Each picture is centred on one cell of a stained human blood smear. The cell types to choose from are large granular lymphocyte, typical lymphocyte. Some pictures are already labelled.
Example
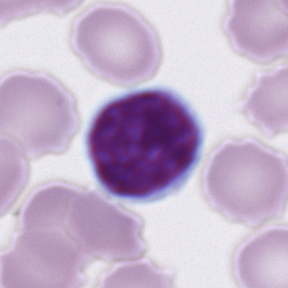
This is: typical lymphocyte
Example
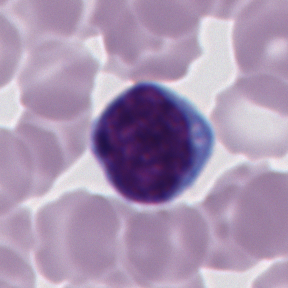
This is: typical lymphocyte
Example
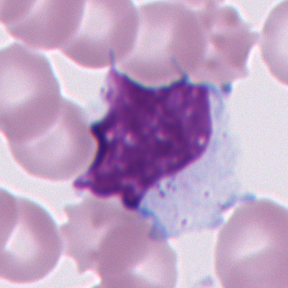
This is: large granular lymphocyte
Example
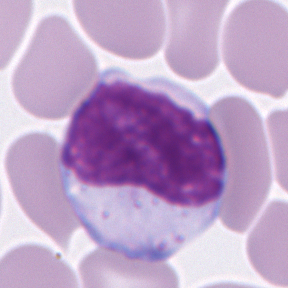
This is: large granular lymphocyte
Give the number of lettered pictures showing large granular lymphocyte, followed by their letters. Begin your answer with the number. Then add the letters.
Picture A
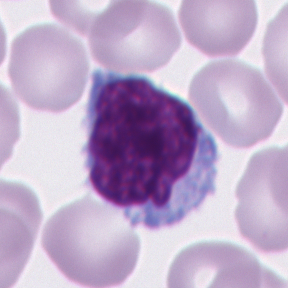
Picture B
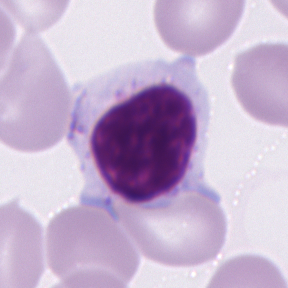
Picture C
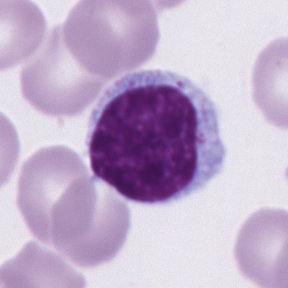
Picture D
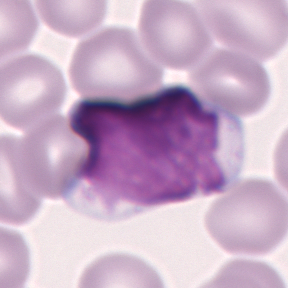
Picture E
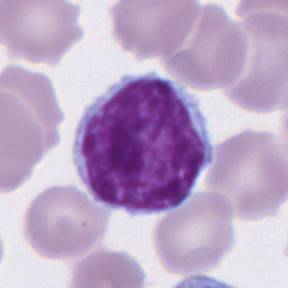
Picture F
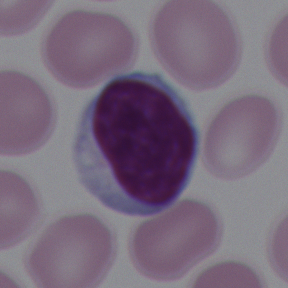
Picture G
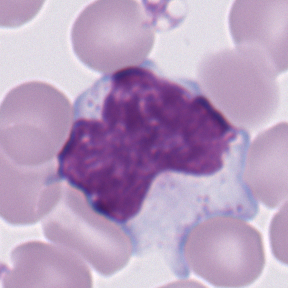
Count: 4 (B, C, D, G)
